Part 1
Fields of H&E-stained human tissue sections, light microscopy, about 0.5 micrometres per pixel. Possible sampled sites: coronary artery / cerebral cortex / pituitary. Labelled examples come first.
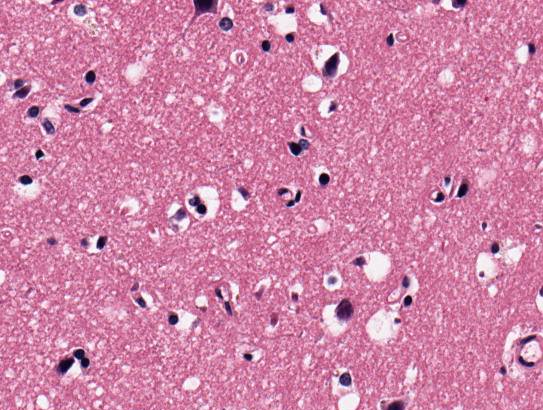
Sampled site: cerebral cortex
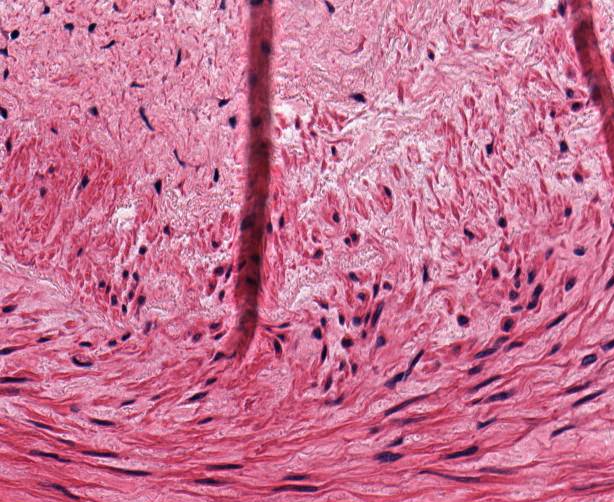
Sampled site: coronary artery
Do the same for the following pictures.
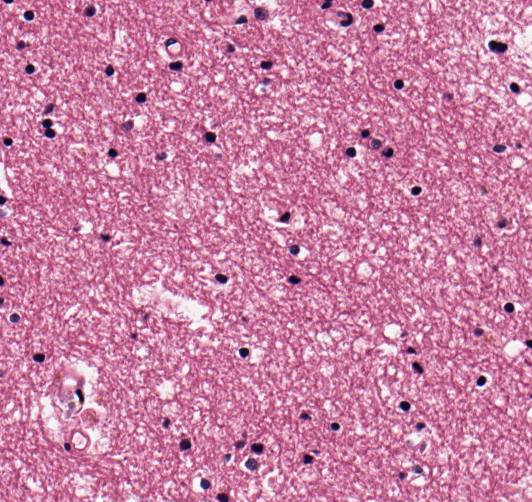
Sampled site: cerebral cortex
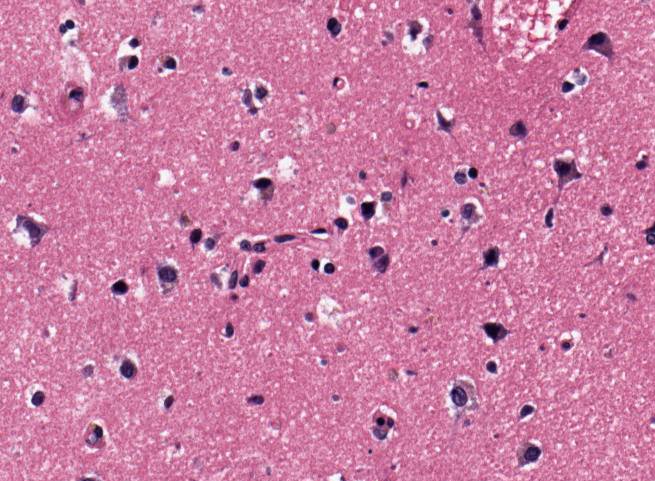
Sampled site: cerebral cortex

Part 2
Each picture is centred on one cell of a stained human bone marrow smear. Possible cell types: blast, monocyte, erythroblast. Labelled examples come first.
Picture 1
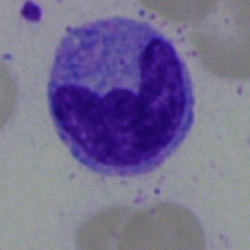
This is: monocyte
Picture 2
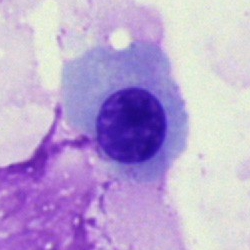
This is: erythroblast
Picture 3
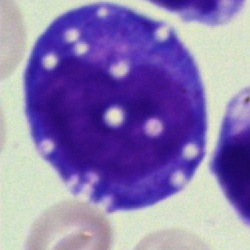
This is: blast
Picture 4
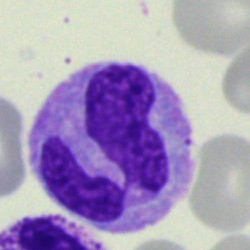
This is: monocyte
